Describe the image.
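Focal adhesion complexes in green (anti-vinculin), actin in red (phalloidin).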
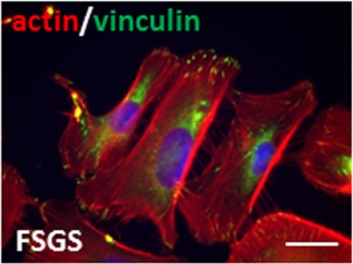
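Large, spread cultured podocytes show long parallel red filament bundles crossing the cytoplasm and lining the cell borders. Oval blue nuclei sit in the middle of the cells.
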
